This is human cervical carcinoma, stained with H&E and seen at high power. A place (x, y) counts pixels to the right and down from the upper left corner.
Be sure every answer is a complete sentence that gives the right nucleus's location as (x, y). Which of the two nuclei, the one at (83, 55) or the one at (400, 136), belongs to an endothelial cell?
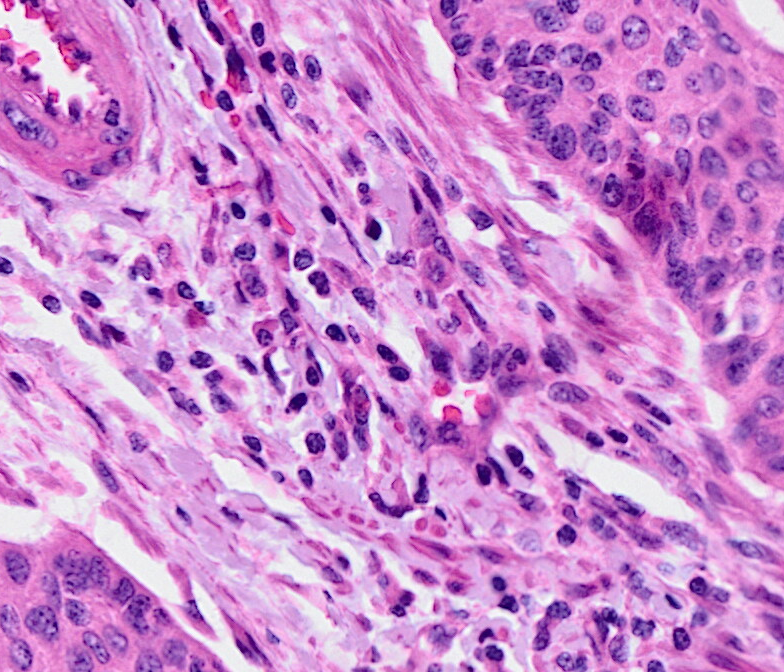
Which one belongs to an endothelial cell? The nucleus at (83, 55) does.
